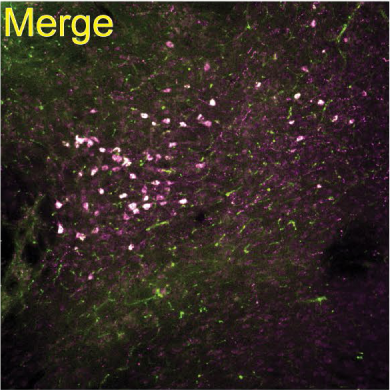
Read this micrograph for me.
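The cell bodies are small, round to oval, and gathered in a loose cluster across the middle of the field, thinning toward the edges. Thin green fibres run among and beyond the cells, especially in the lower part of the image. The background is dark with a faint greenish haze.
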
